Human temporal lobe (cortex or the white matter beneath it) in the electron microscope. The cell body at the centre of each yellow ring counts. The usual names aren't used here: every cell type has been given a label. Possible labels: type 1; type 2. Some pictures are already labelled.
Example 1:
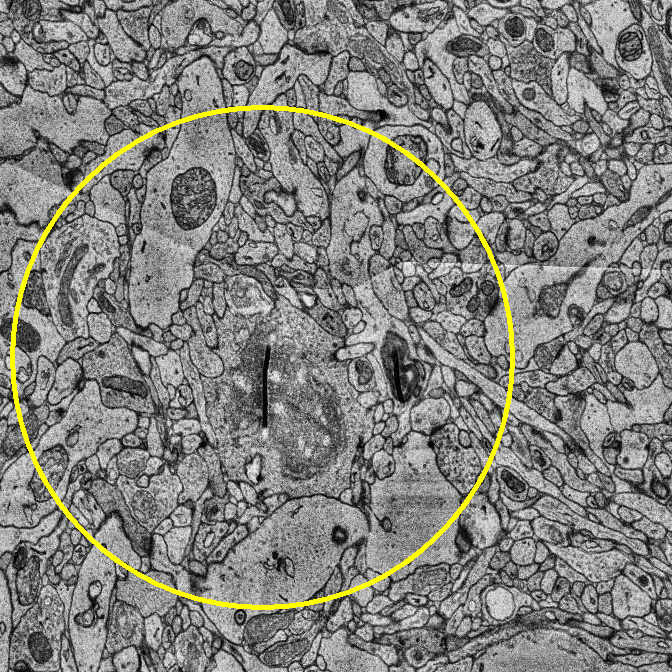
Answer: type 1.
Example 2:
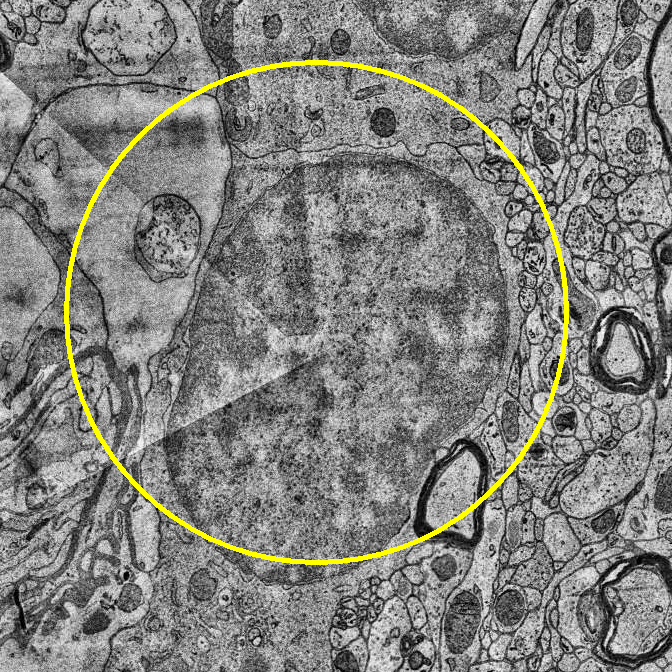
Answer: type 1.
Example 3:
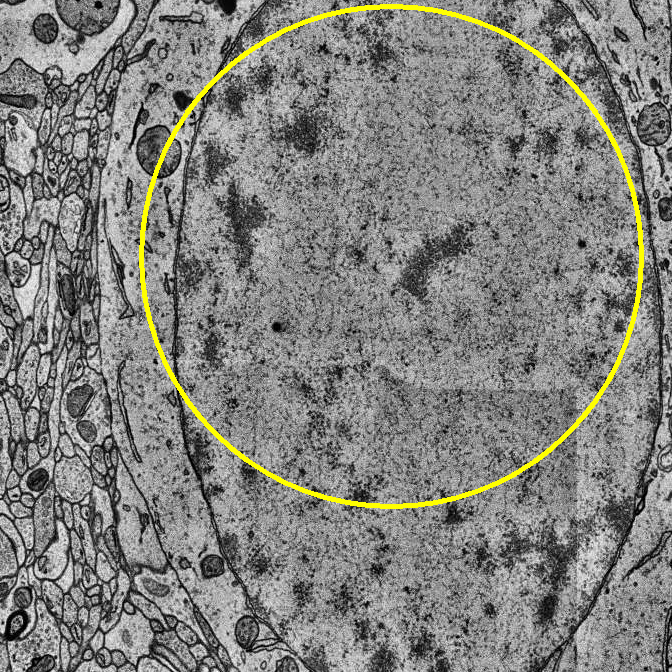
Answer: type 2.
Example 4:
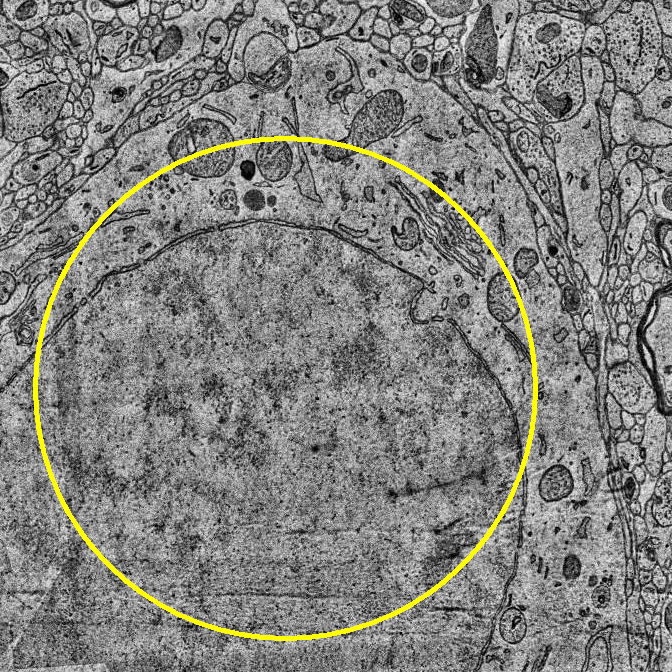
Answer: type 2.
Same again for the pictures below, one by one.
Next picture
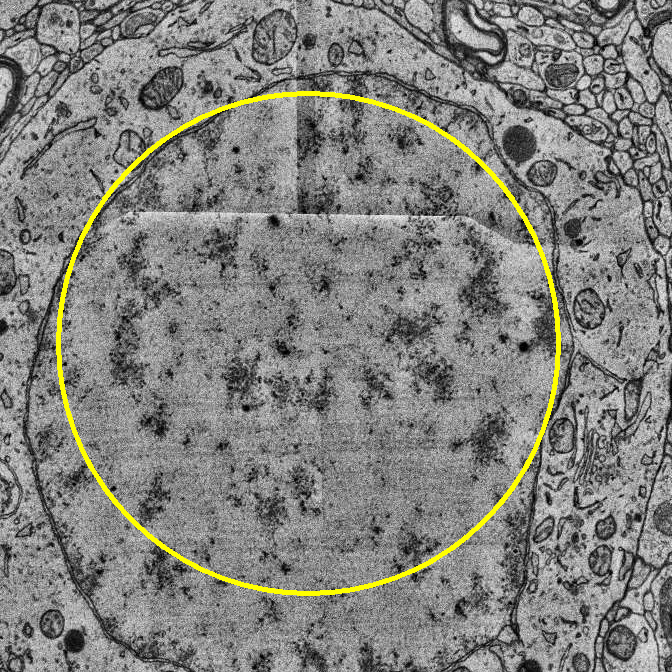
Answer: type 2.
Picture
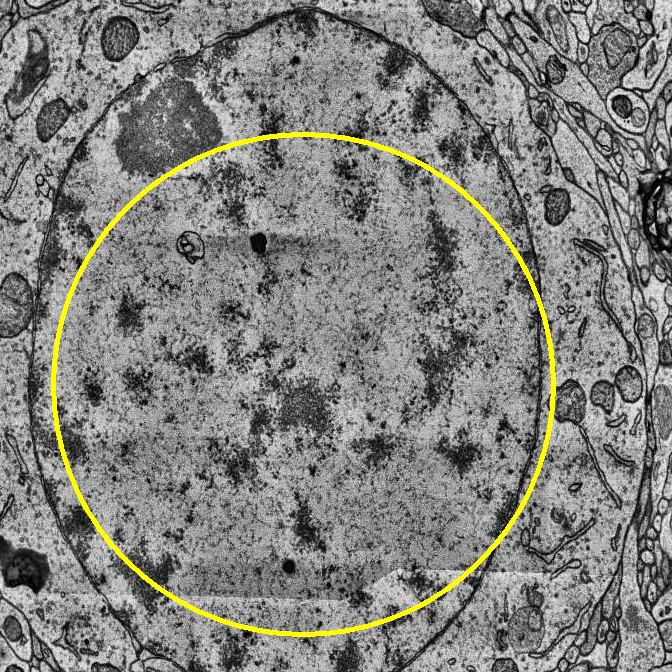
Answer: type 2.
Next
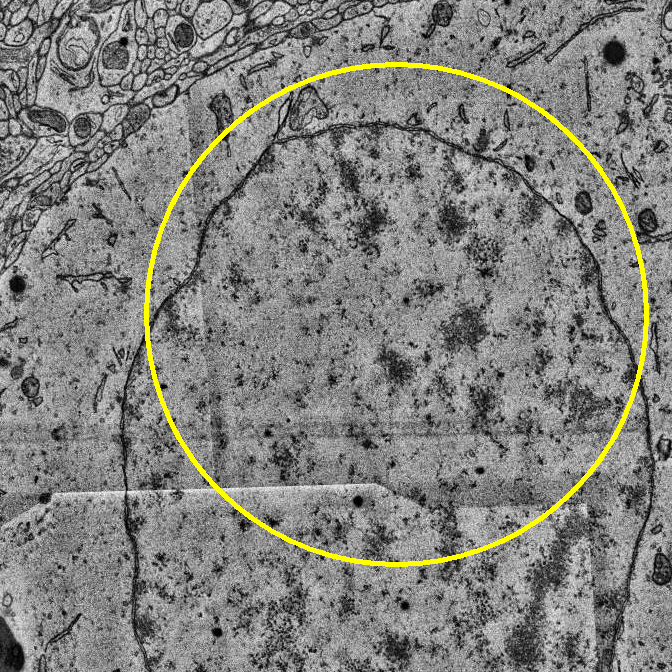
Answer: type 2.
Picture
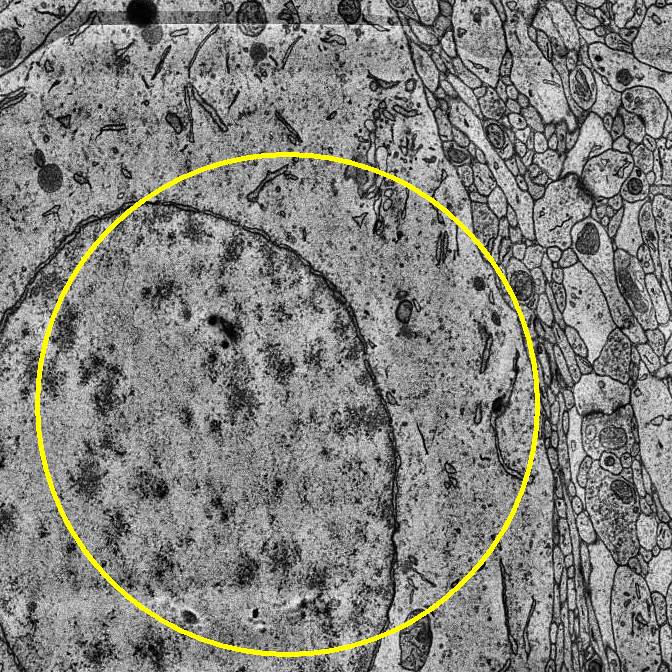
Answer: type 2.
